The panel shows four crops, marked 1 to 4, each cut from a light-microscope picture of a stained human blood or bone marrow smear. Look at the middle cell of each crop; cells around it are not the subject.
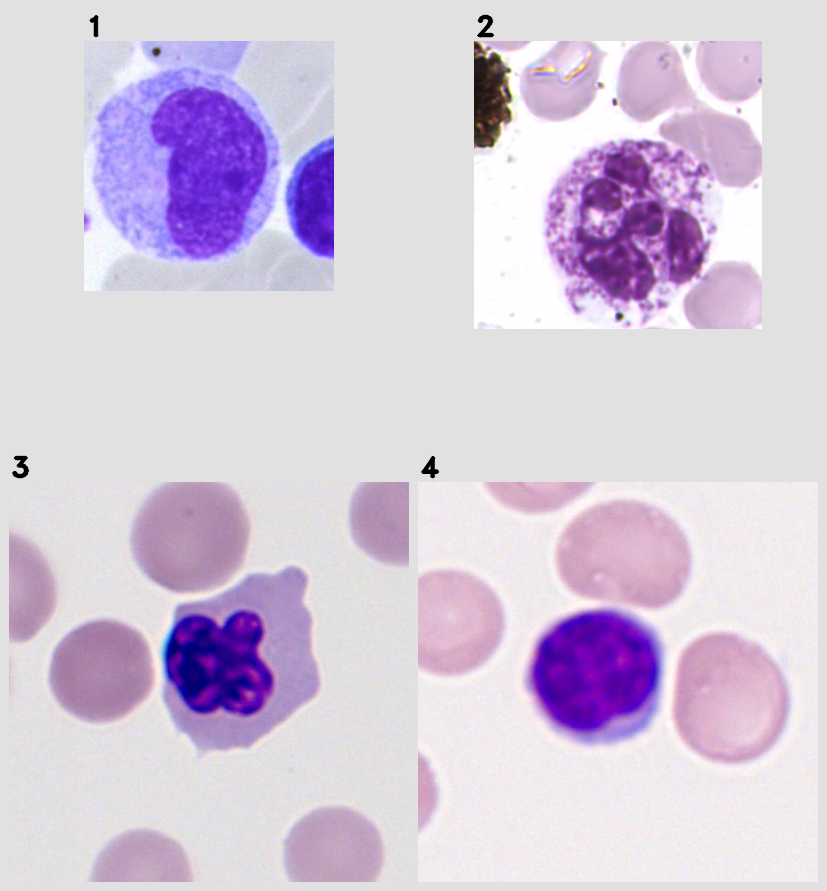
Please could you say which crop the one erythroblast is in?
3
